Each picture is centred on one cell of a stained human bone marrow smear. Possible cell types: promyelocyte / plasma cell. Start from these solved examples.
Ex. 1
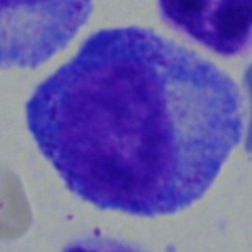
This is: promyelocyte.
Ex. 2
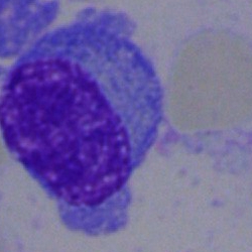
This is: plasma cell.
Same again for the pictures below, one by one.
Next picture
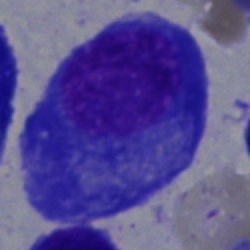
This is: plasma cell.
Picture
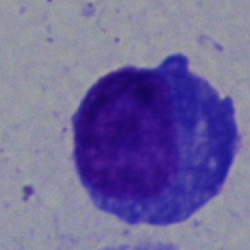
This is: plasma cell.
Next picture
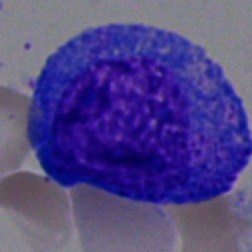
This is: promyelocyte.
